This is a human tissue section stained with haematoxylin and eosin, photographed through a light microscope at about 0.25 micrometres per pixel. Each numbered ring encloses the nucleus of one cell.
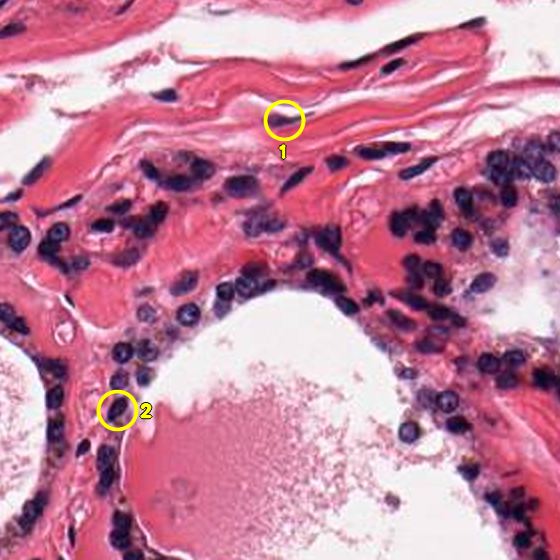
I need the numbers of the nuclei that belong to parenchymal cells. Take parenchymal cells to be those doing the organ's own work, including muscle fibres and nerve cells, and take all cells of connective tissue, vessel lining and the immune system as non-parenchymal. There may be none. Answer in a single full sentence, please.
The nucleus of a parenchymal cell, among those marked, is nucleus 2 alone.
